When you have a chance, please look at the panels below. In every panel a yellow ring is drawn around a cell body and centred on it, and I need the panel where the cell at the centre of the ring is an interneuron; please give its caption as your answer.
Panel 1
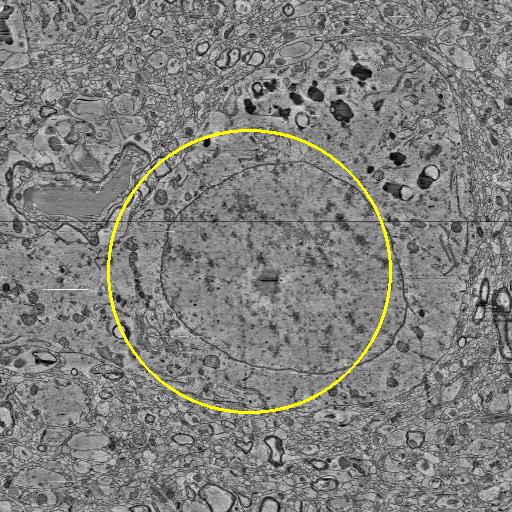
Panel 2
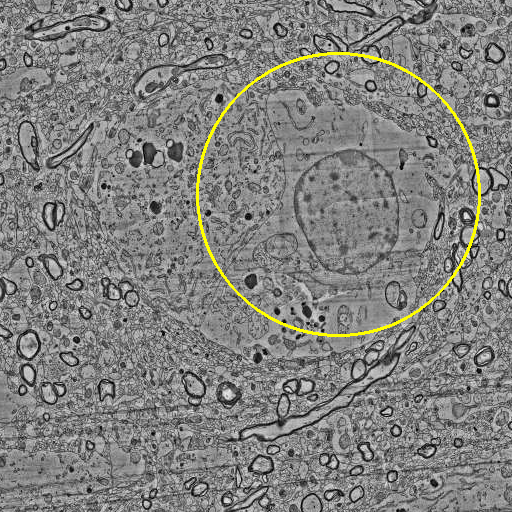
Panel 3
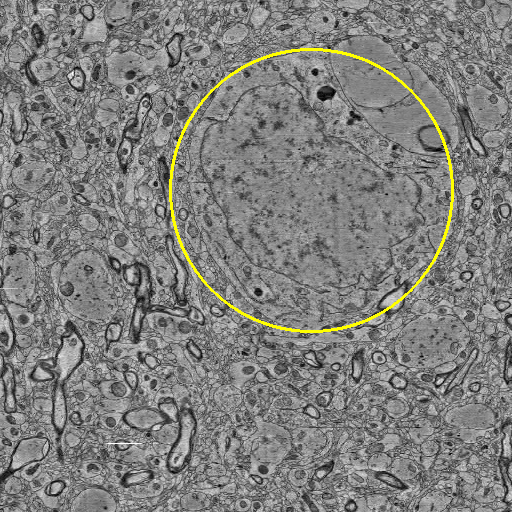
Panel 3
